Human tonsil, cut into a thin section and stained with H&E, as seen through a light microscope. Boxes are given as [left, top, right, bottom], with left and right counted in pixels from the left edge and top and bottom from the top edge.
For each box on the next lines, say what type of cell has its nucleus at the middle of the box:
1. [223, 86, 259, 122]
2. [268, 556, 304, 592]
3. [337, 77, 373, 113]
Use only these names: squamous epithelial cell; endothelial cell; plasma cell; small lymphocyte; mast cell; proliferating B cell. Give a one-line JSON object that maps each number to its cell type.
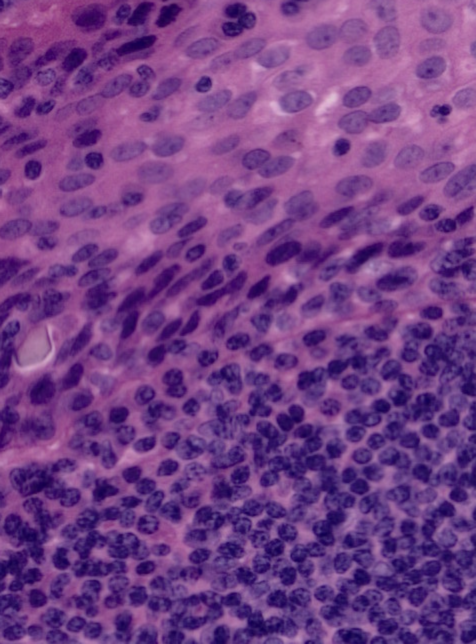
{"1": "squamous epithelial cell", "2": "small lymphocyte", "3": "squamous epithelial cell"}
